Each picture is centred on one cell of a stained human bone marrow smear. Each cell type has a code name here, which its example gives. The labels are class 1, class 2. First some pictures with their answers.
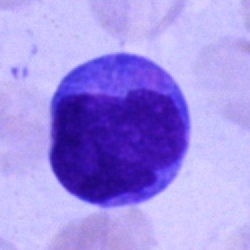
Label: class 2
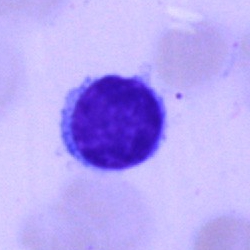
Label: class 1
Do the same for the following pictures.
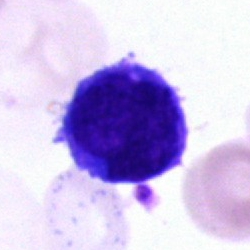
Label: class 2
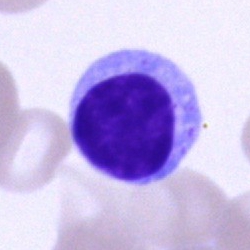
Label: class 1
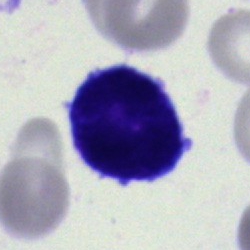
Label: class 2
